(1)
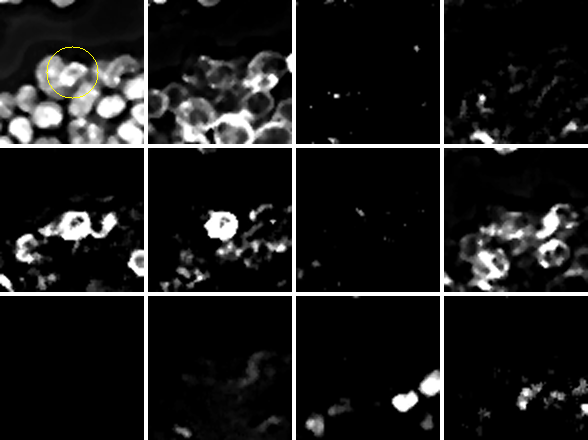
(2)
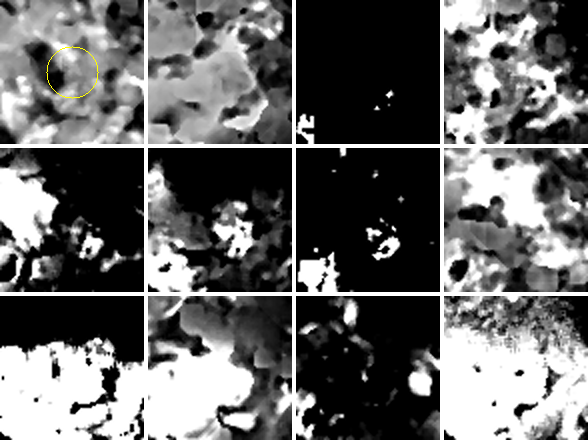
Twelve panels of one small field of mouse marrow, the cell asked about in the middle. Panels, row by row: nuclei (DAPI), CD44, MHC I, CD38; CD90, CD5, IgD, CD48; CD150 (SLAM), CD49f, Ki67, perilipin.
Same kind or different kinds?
Same: T cells.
